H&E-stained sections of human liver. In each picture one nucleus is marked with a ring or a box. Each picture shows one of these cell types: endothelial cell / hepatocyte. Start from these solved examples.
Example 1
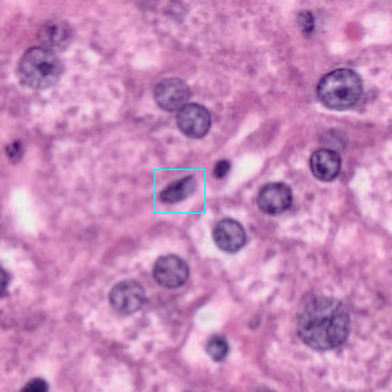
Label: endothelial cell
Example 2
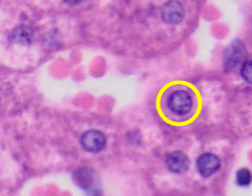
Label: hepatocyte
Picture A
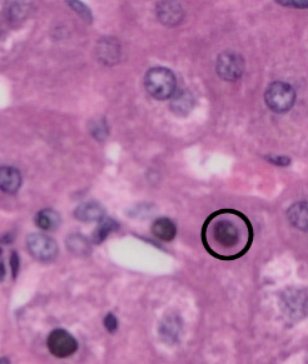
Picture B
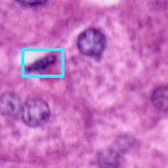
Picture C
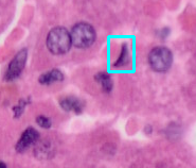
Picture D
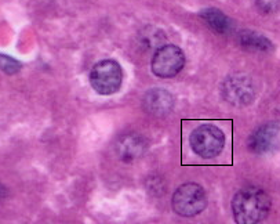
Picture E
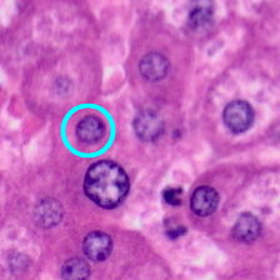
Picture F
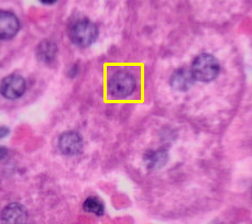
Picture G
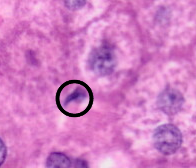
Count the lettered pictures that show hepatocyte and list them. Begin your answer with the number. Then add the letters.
Count: 4 (A, D, E, F)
